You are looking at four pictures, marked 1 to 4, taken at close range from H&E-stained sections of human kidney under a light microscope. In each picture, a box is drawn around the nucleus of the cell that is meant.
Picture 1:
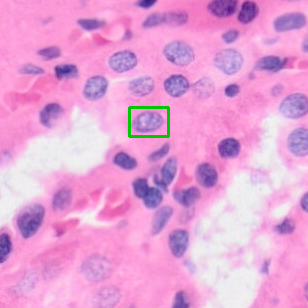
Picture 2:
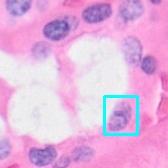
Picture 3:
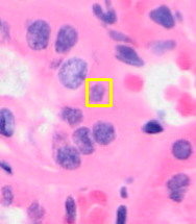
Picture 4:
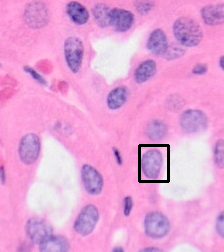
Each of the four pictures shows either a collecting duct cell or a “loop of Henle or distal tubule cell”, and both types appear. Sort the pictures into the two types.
1: loop of Henle or distal tubule cell
2: collecting duct cell
3: collecting duct cell
4: loop of Henle or distal tubule cell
